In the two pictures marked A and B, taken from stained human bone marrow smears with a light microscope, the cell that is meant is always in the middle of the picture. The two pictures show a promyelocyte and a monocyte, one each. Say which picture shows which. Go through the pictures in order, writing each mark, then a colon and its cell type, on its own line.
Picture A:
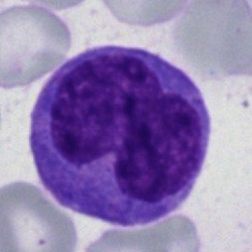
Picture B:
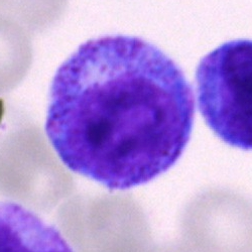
A: monocyte
B: promyelocyte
